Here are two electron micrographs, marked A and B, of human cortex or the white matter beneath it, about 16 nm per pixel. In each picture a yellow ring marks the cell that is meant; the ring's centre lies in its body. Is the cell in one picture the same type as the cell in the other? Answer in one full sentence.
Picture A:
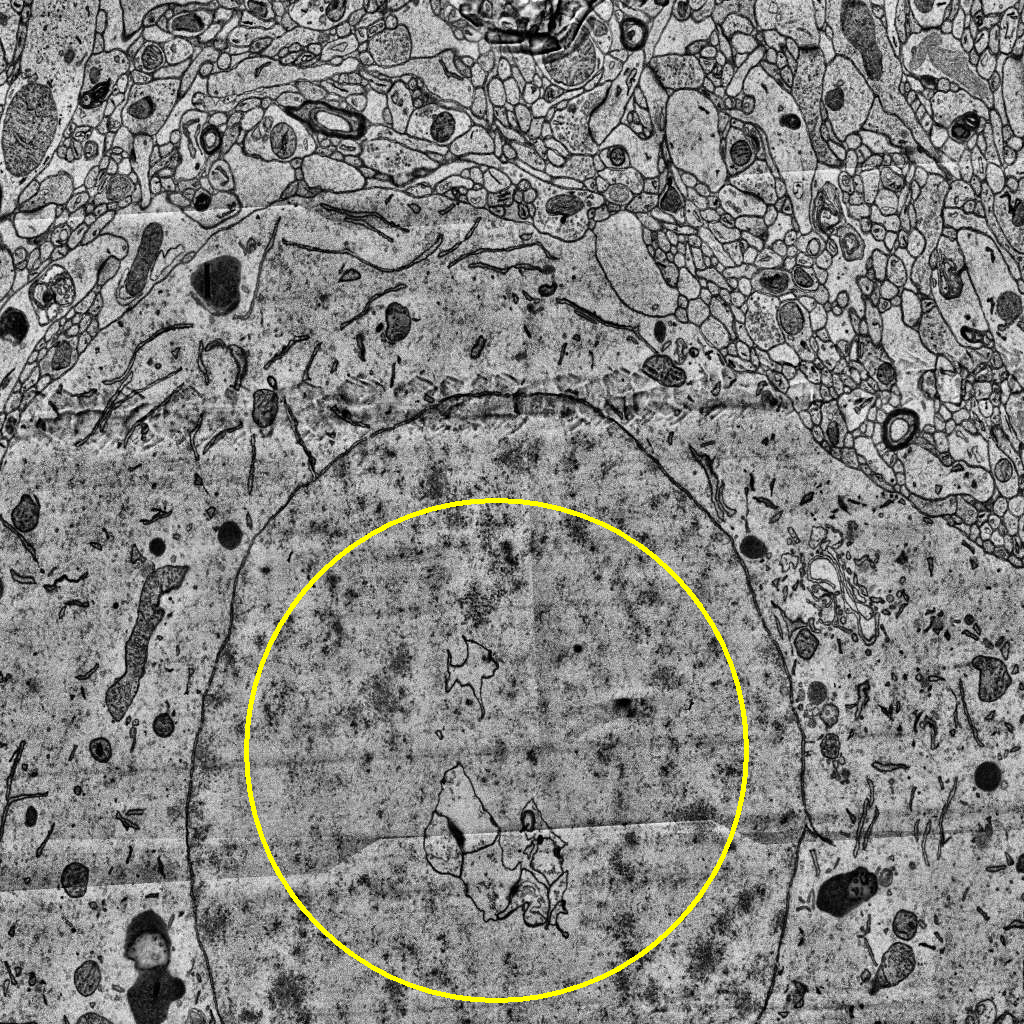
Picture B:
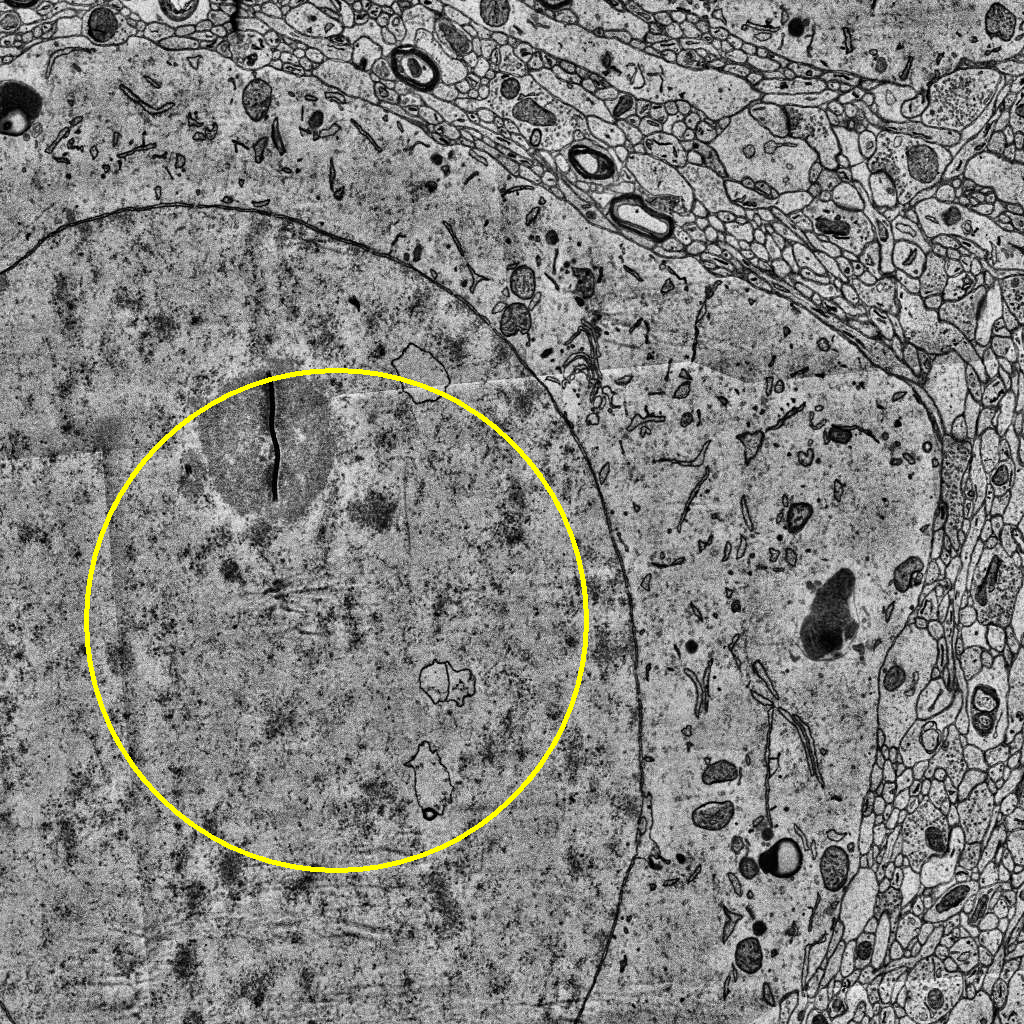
Yes, both are pyramidal neurons.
